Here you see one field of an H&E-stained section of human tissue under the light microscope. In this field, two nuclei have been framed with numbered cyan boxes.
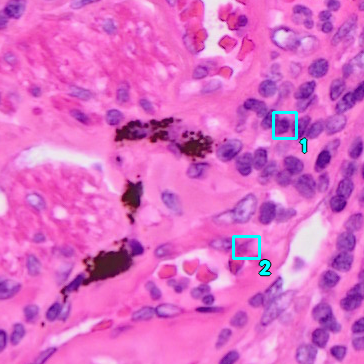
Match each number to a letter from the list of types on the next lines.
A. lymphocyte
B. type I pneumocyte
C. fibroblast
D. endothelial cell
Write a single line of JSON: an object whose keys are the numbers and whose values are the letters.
{"1": "A", "2": "D"}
